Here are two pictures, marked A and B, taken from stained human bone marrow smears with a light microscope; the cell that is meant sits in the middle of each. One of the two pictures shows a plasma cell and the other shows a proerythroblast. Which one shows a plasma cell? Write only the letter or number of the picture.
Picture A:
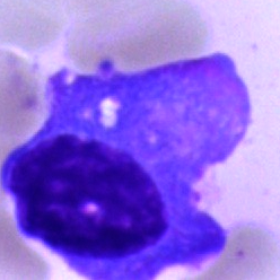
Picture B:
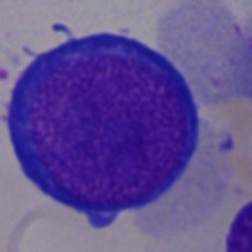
A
